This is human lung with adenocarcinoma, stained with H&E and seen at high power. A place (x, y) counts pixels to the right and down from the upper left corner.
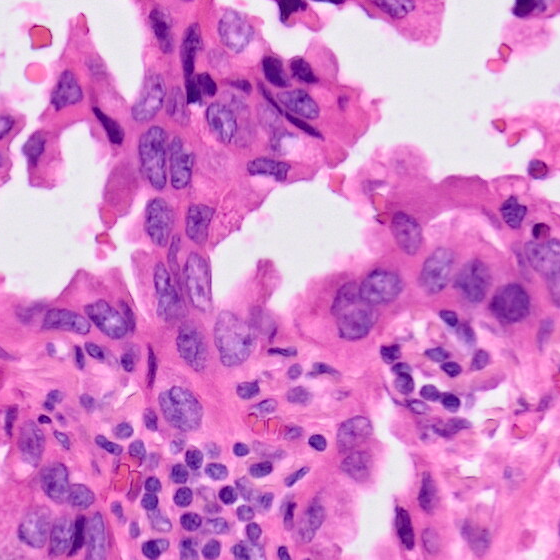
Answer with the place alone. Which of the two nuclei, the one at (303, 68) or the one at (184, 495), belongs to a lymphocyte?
(184, 495)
